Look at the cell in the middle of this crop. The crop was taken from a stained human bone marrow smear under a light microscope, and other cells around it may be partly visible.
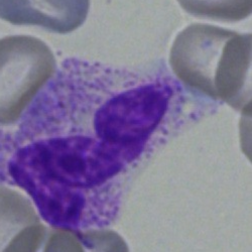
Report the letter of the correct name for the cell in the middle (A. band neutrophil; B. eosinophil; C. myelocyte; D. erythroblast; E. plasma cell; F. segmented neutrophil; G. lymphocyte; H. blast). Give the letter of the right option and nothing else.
A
